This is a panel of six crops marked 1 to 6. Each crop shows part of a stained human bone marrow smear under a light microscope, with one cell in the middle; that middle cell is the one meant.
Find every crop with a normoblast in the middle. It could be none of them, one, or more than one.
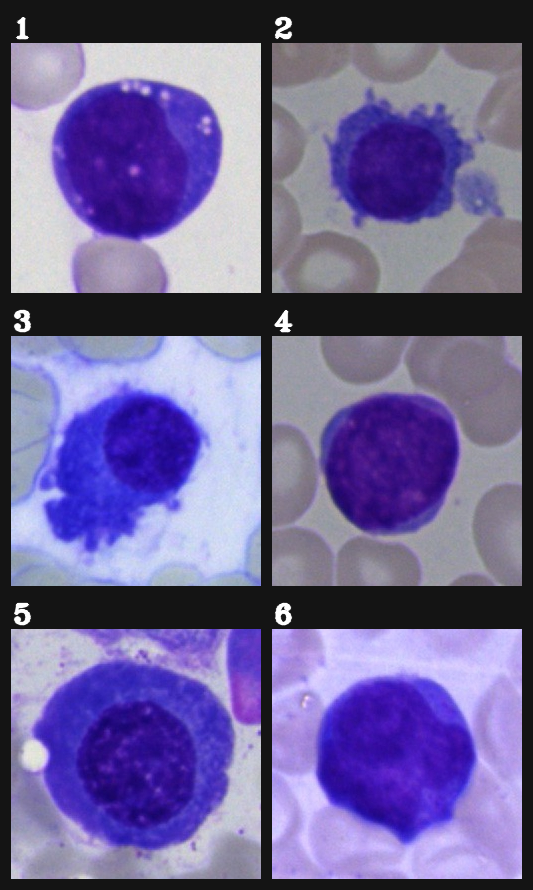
none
